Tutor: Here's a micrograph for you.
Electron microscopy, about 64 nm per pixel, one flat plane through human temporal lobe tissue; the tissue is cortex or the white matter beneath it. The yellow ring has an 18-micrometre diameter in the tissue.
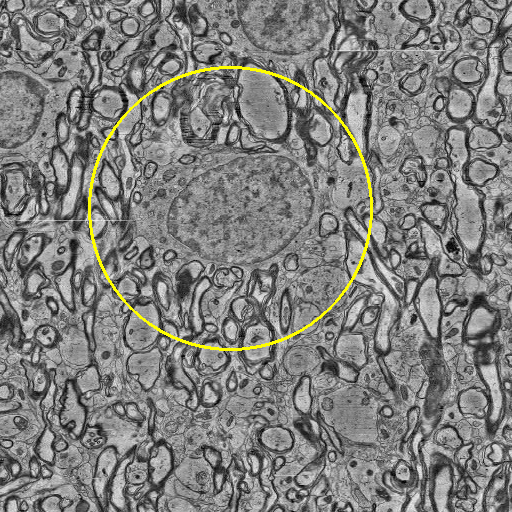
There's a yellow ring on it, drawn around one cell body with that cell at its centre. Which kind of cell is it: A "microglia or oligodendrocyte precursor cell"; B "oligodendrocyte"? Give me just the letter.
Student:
B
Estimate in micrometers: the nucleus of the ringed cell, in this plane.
About 9 by 7 micrometres in this plane.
